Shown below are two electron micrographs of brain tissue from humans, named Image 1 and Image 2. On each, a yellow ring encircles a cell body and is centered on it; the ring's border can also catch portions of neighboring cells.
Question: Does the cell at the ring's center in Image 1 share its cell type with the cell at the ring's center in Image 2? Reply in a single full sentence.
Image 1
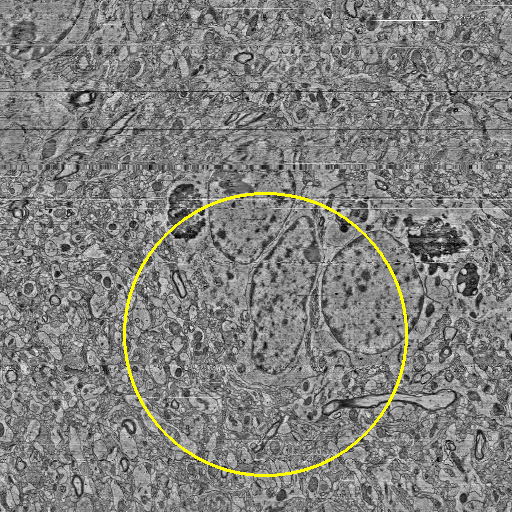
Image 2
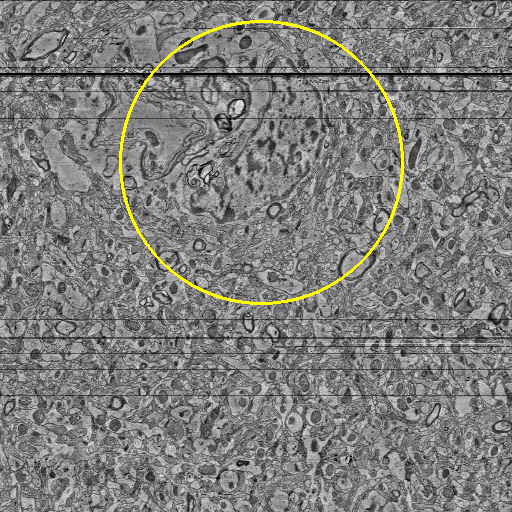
Yes, the two cells at the ring centers, in Image 1 and Image 2, share one cell type.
